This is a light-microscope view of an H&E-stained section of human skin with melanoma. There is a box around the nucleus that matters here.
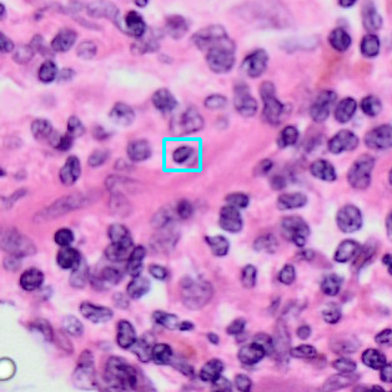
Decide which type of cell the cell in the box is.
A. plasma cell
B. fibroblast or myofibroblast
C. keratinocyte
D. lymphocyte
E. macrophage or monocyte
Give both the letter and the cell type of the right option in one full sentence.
Looking at the options, pick D; the cell in the box is a lymphocyte.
